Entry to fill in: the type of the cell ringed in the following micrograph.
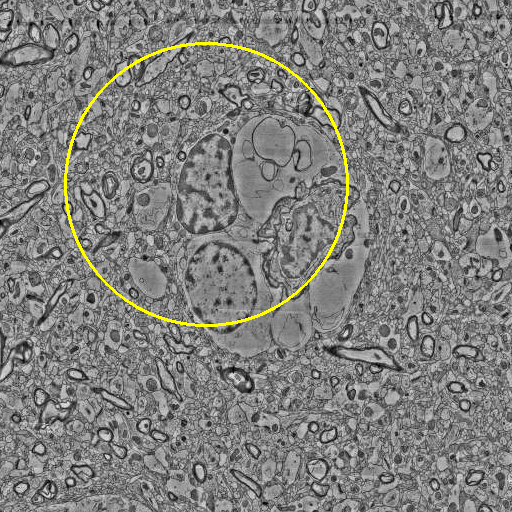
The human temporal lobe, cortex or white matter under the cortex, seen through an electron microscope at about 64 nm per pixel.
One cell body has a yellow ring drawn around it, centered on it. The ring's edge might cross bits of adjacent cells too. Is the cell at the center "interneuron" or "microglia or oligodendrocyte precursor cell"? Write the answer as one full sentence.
This entry names a microglial cell or oligodendrocyte precursor cell as the cell whose body lies at the ring's center.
